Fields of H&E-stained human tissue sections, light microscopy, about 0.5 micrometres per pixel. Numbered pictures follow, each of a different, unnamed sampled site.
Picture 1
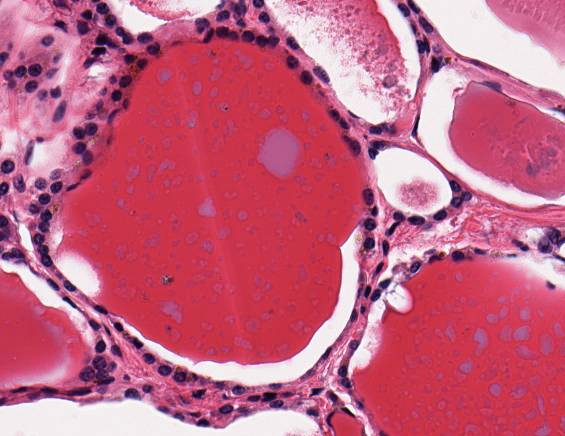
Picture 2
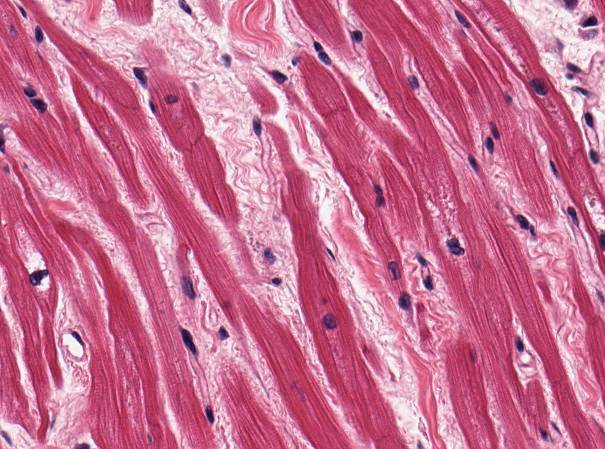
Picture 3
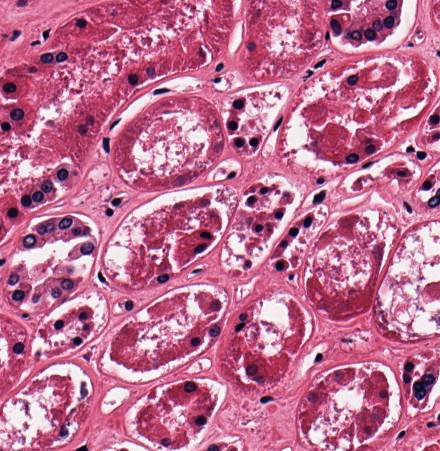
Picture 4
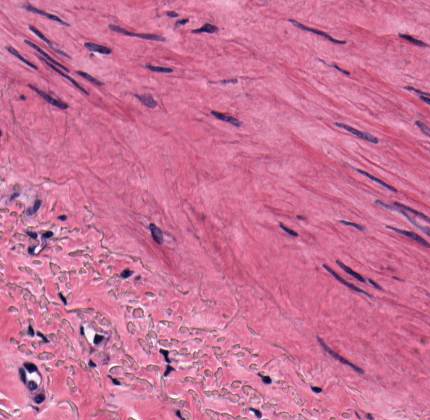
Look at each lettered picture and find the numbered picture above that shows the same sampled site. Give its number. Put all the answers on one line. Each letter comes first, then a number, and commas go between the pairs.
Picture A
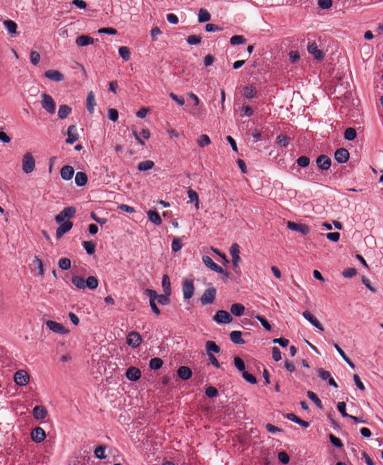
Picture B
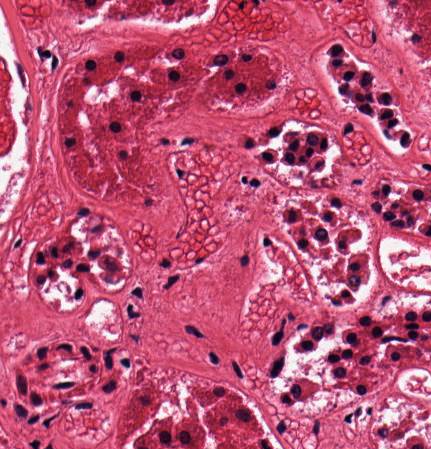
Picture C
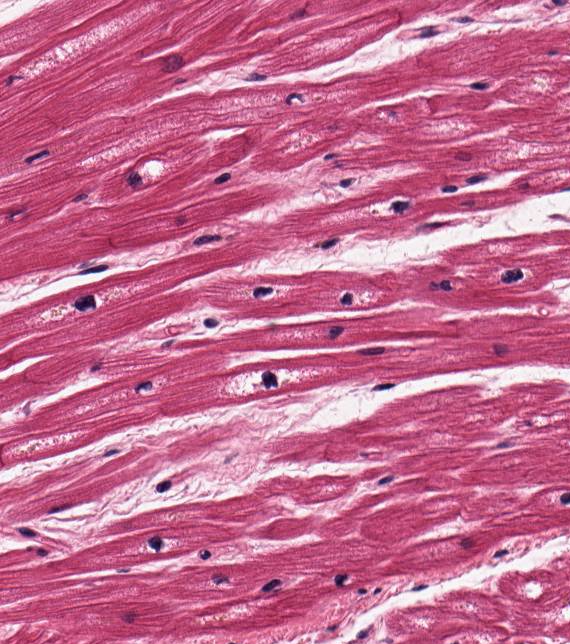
A 3, B 3, C 2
